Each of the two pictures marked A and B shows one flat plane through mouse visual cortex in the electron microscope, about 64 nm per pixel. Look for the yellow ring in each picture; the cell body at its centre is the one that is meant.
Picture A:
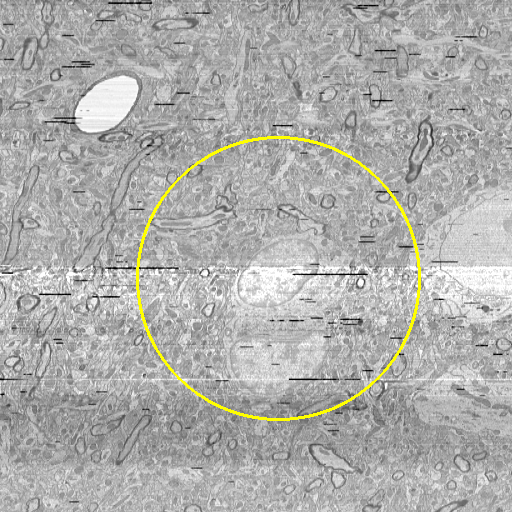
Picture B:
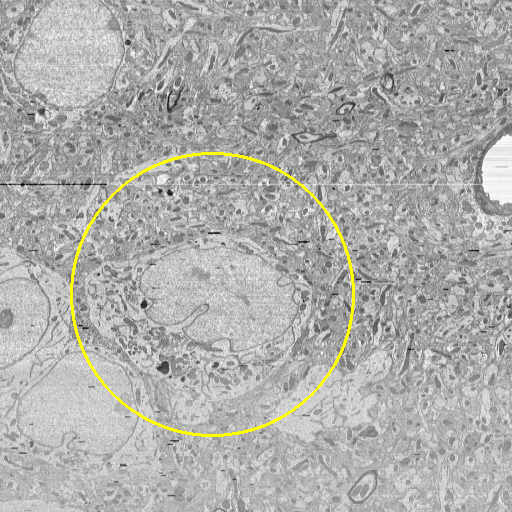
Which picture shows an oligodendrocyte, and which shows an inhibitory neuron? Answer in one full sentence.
Picture A is of an oligodendrocyte, and picture B is of an inhibitory neuron.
